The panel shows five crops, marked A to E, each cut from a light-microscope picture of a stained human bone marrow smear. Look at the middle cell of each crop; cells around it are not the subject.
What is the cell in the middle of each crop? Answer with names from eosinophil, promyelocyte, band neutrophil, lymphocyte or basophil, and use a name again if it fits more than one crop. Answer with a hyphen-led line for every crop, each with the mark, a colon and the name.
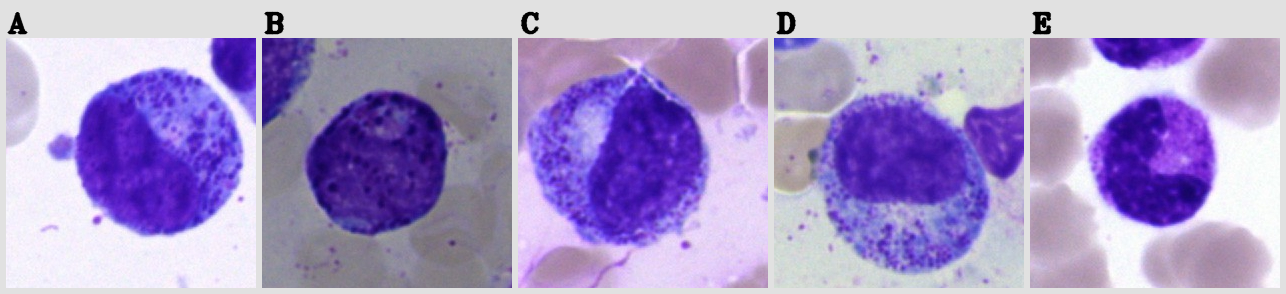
- A: promyelocyte
- B: basophil
- C: promyelocyte
- D: promyelocyte
- E: band neutrophil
